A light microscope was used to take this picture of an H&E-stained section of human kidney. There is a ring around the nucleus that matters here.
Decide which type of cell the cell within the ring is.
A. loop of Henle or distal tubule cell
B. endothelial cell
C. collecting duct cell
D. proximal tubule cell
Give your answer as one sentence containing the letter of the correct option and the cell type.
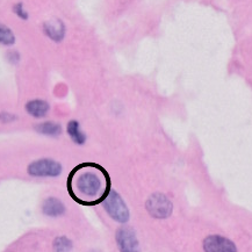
The right option is C, the cell within the ring being a collecting duct cell.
